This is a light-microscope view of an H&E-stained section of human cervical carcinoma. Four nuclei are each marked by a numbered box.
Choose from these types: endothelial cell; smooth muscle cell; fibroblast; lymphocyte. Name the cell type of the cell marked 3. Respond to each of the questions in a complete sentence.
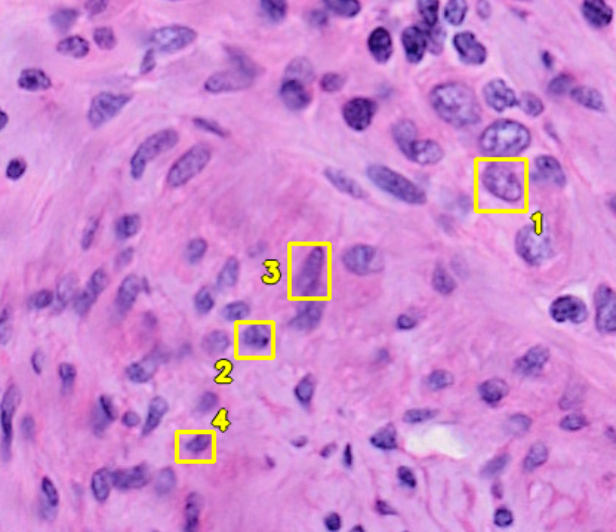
The cell whose nucleus carries the number 3 is a smooth muscle cell.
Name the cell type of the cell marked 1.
Heads up, the cell numbered 1 is an endothelial cell.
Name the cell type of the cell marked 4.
Identified by the number 4, the cell is a smooth muscle cell.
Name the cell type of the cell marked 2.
The cell indicated with the number 2 is classed as a smooth muscle cell.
